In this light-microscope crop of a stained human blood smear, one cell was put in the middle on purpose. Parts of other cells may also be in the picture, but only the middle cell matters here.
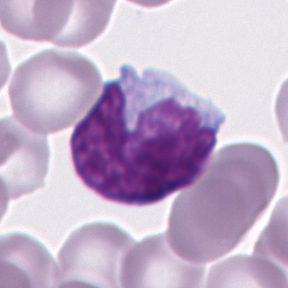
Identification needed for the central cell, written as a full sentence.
The crop's centre is taken up by a monocyte.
